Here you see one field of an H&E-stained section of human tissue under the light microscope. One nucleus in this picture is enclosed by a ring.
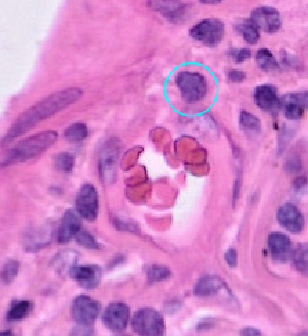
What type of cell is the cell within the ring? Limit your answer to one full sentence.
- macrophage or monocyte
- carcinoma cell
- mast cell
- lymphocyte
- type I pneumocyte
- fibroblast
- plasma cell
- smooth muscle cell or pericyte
Assigned to a cell type, the cell within the ring is a lymphocyte.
